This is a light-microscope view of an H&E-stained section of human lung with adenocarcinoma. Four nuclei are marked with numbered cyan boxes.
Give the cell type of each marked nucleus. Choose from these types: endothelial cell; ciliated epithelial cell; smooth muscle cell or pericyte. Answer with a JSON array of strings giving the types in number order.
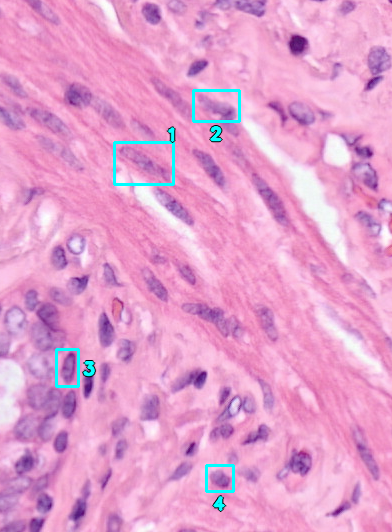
["smooth muscle cell or pericyte", "smooth muscle cell or pericyte", "ciliated epithelial cell", "smooth muscle cell or pericyte"]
